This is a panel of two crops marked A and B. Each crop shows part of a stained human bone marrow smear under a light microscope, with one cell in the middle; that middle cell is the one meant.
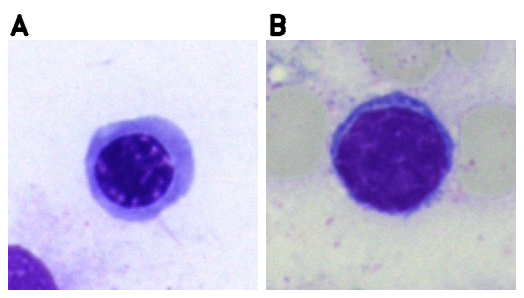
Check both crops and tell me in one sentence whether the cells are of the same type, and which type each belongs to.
No, the middle of crop A holds a normoblast, and the middle of crop B holds a lymphocyte.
